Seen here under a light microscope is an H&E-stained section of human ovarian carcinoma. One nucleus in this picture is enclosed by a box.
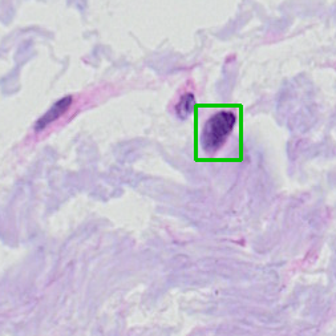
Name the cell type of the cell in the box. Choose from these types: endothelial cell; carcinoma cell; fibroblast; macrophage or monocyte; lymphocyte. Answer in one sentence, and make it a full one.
Histopathologically, the cell in the box is a fibroblast.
